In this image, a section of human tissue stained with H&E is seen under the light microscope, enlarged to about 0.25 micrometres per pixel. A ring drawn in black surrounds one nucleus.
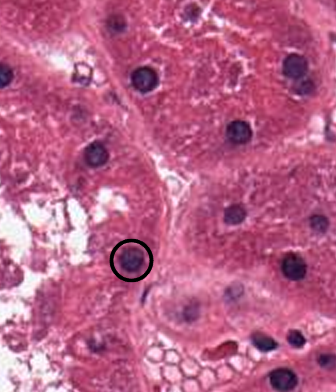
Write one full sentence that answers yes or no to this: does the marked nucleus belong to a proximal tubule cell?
Yes, the nucleus that is marked belongs to a proximal tubule cell.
